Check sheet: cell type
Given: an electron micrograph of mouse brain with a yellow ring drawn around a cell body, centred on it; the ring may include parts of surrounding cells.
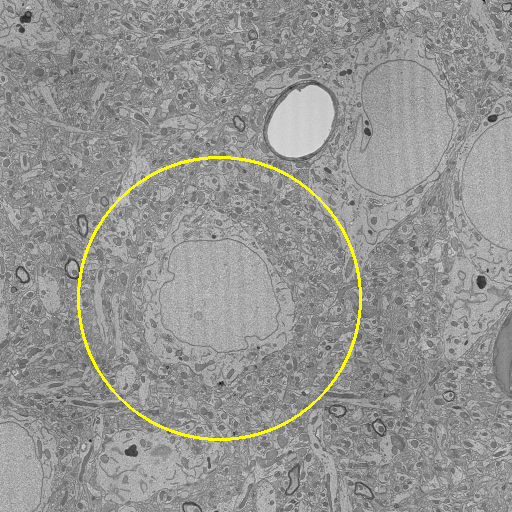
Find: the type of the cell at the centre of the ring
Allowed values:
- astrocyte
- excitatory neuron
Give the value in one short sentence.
Here the ringed cell is an excitatory neuron.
